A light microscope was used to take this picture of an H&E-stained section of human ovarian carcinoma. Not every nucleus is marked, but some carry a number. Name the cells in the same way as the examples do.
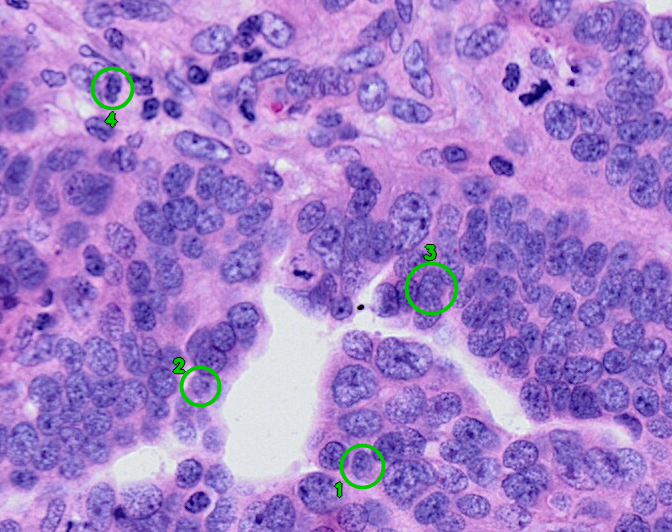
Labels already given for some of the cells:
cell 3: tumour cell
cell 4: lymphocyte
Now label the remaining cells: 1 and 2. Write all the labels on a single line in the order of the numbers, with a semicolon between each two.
tumour cell; tumour cell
